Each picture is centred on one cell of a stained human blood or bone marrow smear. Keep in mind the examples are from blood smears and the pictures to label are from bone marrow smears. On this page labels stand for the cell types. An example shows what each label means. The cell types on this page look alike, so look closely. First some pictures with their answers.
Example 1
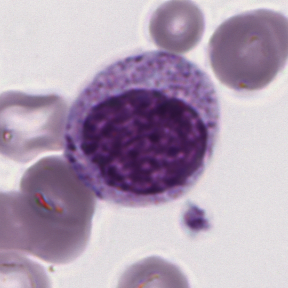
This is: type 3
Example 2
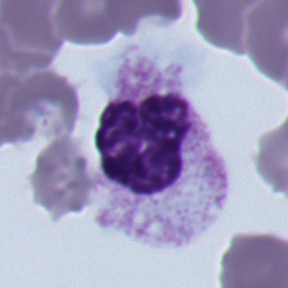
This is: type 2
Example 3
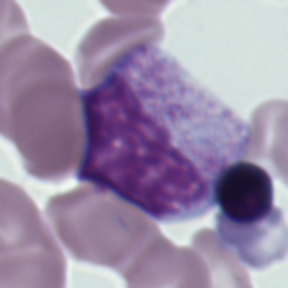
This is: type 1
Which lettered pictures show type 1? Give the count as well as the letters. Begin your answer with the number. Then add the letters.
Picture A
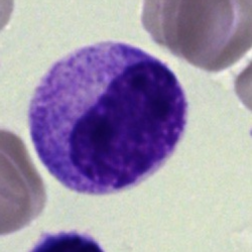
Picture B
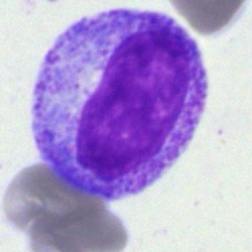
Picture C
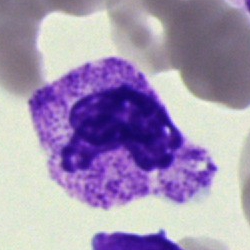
1, namely B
